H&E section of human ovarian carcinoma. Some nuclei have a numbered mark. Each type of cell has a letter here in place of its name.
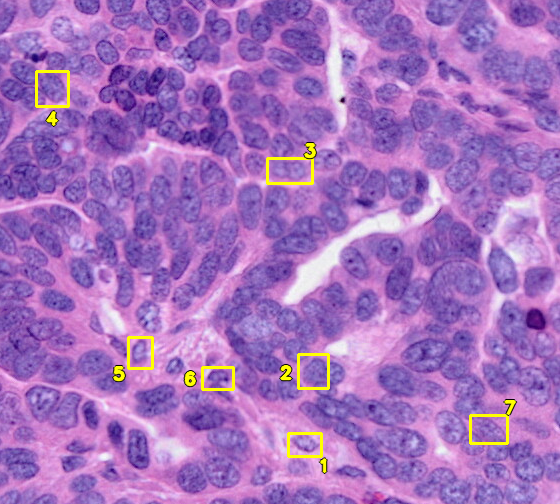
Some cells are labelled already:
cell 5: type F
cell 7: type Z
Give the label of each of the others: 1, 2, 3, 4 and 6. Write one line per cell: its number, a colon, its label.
1: type F
2: type Z
3: type Z
4: type Z
6: type F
